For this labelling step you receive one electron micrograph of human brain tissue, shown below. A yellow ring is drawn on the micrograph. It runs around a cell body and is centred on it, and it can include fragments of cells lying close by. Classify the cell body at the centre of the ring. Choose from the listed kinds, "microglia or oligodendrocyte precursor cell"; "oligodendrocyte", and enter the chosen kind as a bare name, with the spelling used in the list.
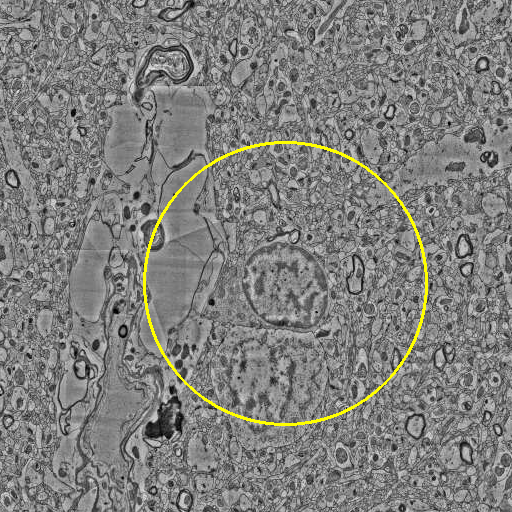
oligodendrocyte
